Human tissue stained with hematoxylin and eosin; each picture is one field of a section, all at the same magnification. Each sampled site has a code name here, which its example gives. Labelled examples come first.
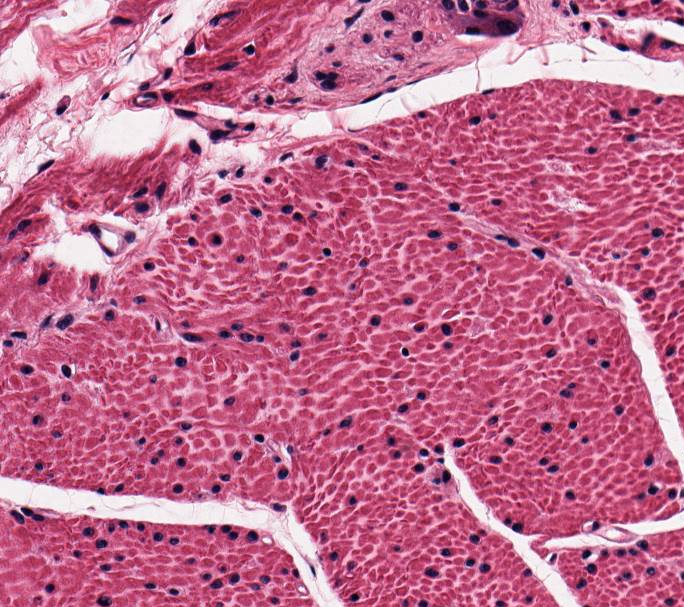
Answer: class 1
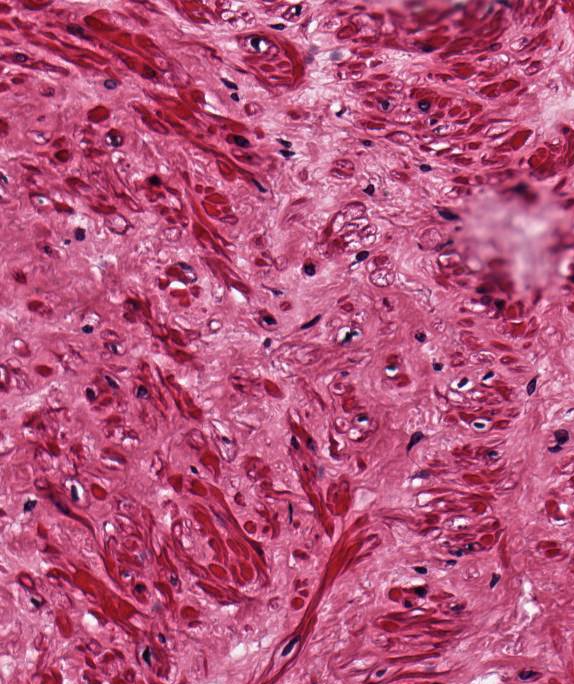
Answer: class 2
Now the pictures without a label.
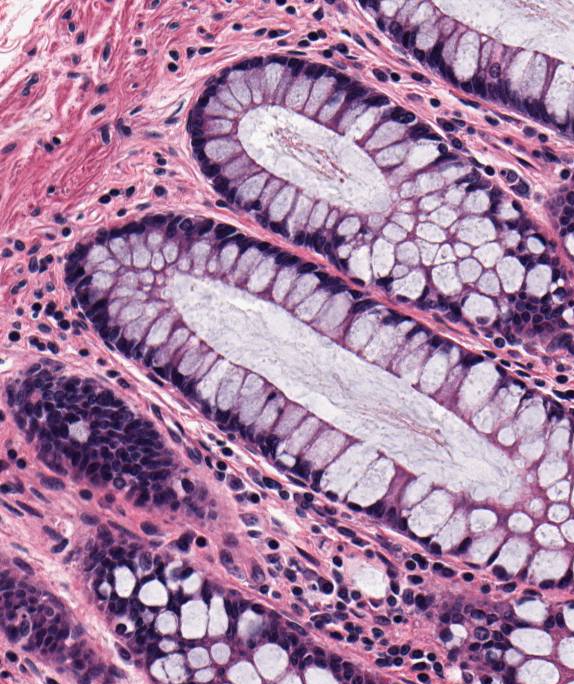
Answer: class 1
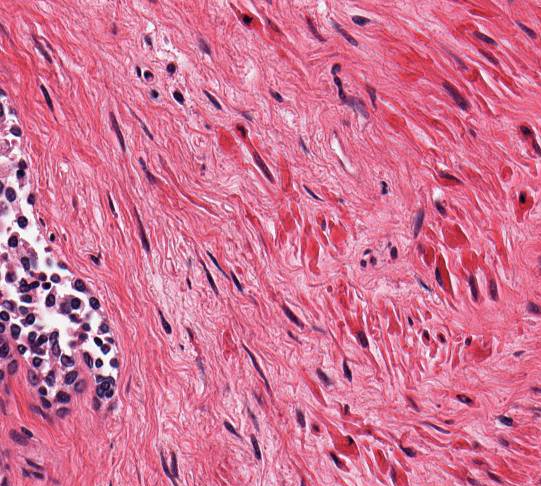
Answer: class 2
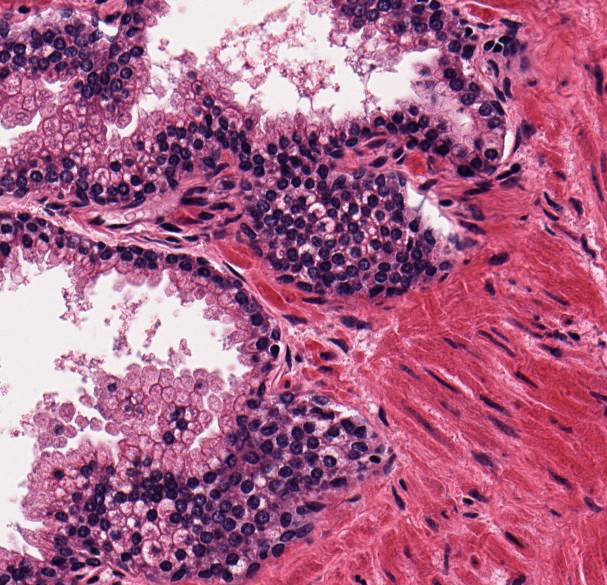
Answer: class 2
